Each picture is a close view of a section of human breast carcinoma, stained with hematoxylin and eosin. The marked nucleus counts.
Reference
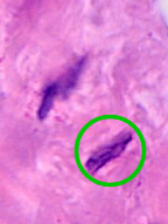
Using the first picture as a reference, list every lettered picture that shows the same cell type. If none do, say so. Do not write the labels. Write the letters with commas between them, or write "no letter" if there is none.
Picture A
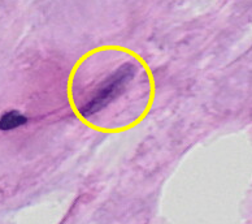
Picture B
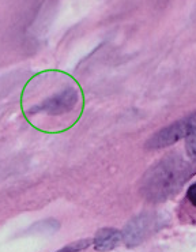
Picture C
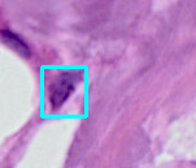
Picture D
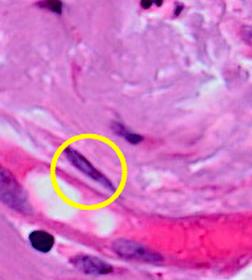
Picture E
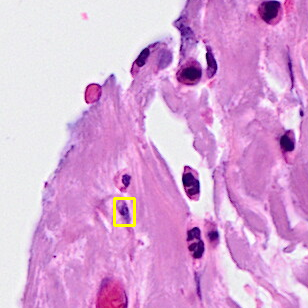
A, B, C, D, E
